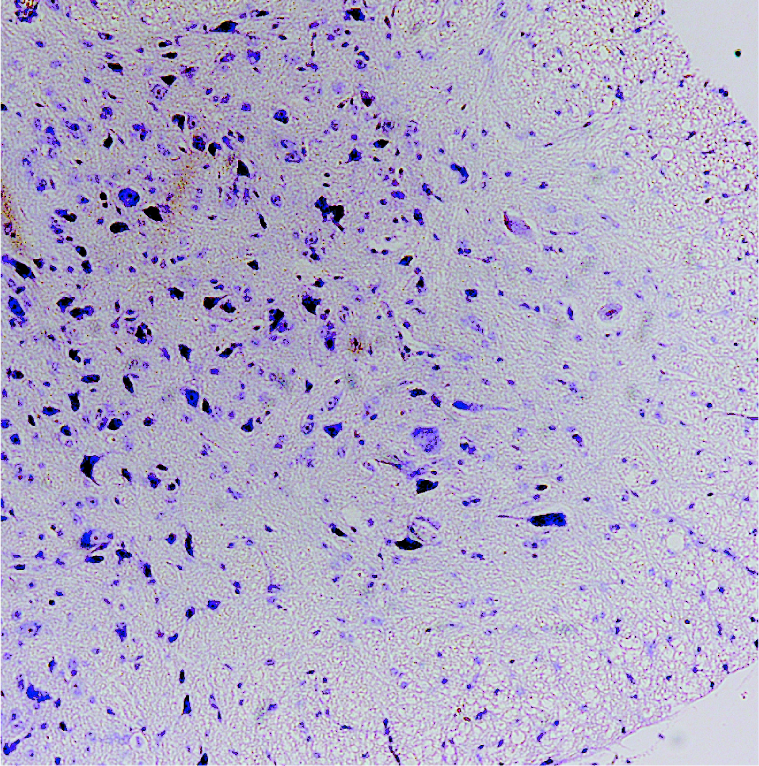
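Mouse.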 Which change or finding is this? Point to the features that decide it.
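Many neuronal profiles are small, dark and condensed without a clear nucleus. Few large neurons with a visible nucleus and nucleolus remain. Some cell bodies stain only faintly violet.
Answer: shrinked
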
